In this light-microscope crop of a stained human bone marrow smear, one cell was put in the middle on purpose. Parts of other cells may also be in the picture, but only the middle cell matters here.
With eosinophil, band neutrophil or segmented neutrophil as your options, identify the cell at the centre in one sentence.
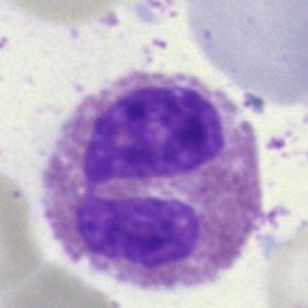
In the crop, the cell of interest at the centre is an eosinophil.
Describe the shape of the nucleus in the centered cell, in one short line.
Counting the nuclear lobes gives a total of at least two.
